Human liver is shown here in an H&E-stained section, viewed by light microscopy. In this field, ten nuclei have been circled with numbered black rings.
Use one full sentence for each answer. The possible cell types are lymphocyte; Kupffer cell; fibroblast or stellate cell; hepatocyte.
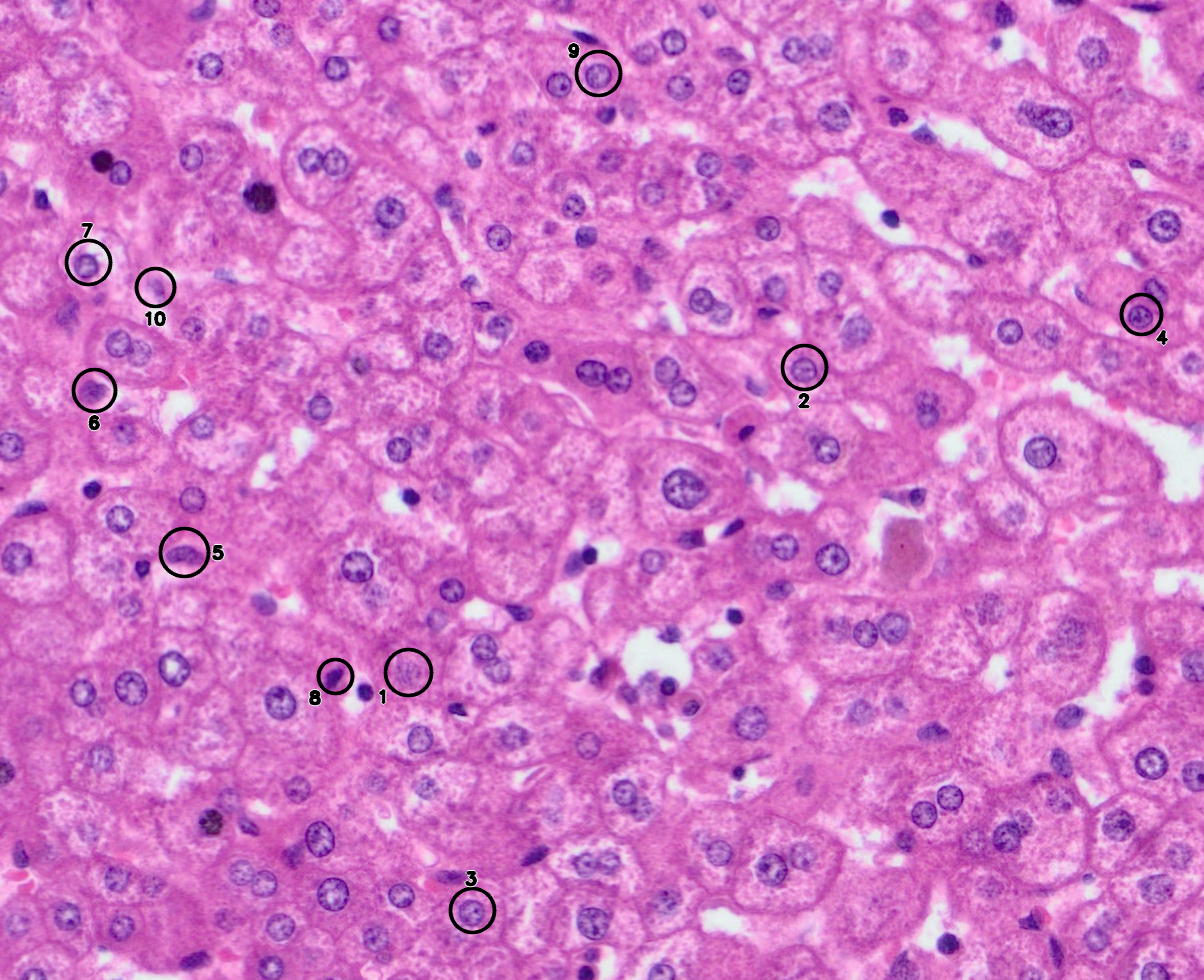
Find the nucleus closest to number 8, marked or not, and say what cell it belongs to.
It is a lymphocyte whose nucleus is nearest to number 8.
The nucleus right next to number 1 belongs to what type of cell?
Closest to number 1 lies the nucleus of a lymphocyte.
